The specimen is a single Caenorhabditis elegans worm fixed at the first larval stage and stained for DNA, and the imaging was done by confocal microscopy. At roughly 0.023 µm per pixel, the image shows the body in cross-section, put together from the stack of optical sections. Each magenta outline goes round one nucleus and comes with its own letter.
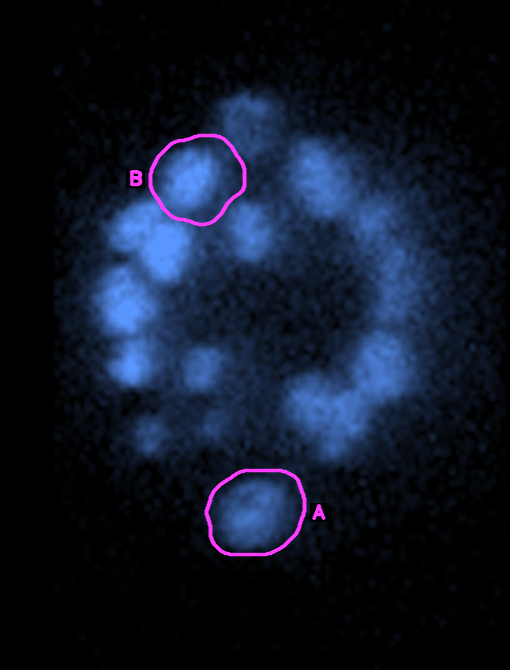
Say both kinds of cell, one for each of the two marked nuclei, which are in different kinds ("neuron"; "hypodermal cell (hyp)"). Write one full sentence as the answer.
A is in a hypodermal cell (hyp) and B is in a neuron.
